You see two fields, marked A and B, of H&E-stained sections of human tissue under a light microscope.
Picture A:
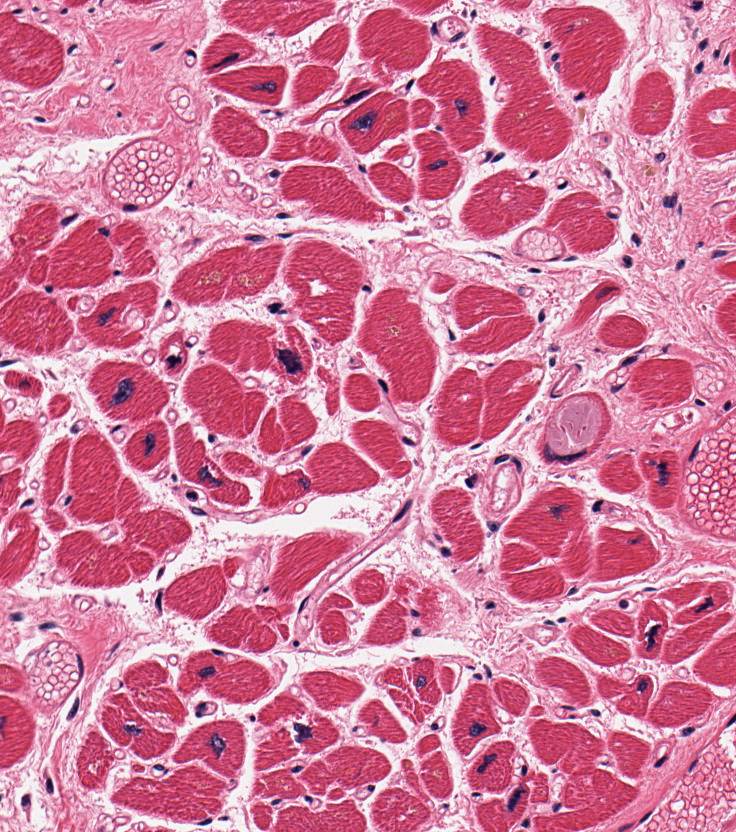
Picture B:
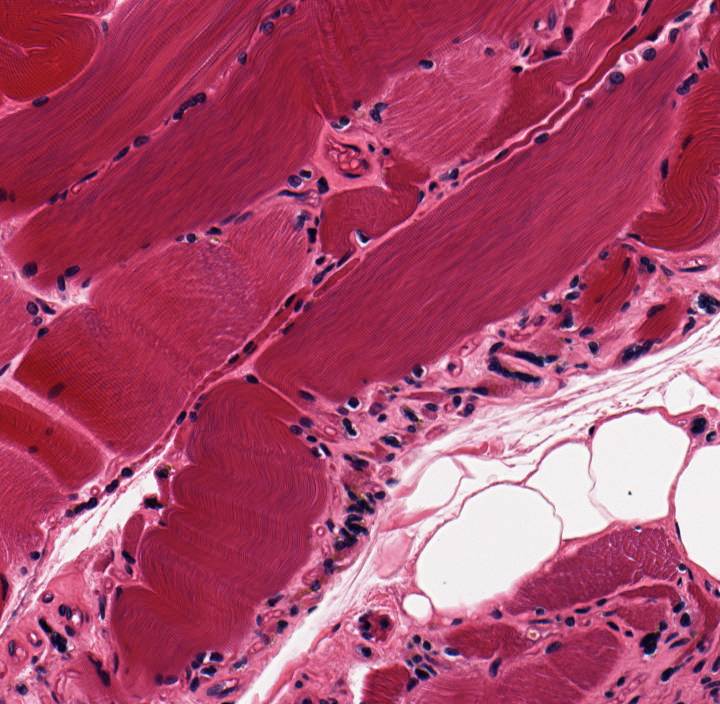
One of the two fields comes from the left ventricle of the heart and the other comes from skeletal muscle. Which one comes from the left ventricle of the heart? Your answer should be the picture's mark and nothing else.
A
